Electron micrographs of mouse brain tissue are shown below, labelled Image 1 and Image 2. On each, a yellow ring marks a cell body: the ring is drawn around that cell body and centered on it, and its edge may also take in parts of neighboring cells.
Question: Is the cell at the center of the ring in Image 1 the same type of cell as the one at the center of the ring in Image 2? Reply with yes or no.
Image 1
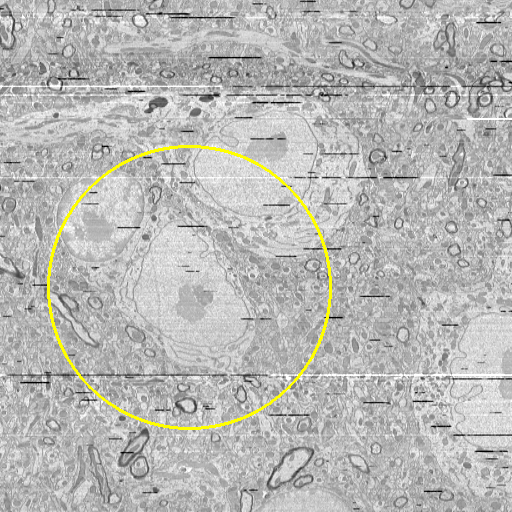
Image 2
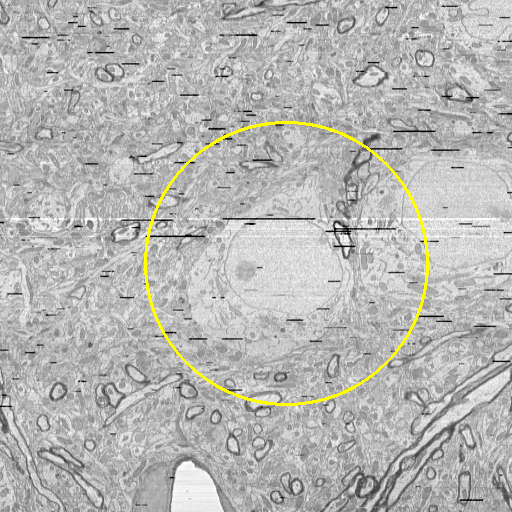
no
